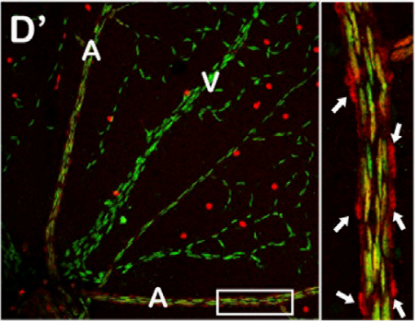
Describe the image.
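Retinal vascular network with large vessels radiating across the field and a finer capillary plexus between them, endothelial nuclei shown as elongated green profiles. Along the arteries the green nuclei are overlaid by red, giving yellow, while the vein and capillaries remain green only. Scattered bright round red dots lie throughout the tissue between vessels.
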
